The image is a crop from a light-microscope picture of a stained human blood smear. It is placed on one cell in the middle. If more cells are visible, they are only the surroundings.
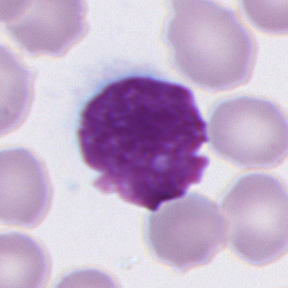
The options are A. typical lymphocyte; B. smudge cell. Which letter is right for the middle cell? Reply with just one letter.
B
